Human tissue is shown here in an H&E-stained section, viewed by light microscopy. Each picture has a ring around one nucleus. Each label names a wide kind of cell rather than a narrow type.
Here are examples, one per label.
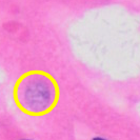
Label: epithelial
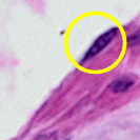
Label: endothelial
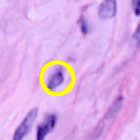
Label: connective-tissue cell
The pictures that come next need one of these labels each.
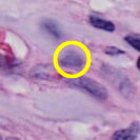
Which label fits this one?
endothelial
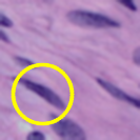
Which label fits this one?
connective-tissue cell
